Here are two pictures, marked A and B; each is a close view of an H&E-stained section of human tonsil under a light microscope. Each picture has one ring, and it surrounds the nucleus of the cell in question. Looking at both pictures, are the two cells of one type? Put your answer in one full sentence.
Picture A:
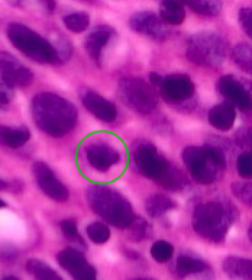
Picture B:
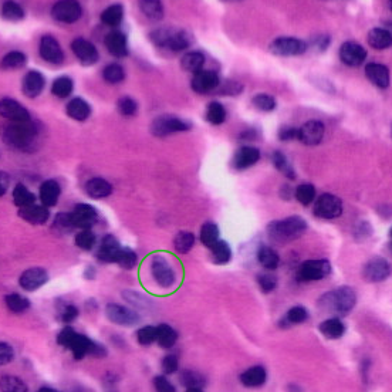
No, picture A shows a squamous epithelial cell and picture B shows a mast cell.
